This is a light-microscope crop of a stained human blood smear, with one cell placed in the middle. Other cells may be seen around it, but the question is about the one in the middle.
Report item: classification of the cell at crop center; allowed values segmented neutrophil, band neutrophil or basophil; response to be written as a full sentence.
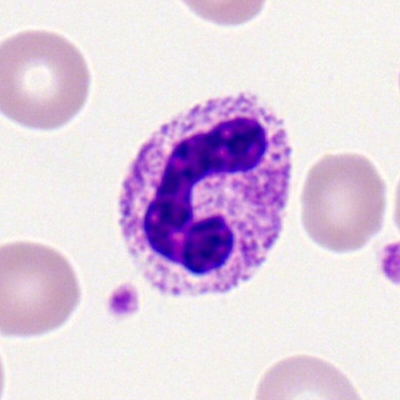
In the crop, the cell of interest at the centre is a band neutrophil.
